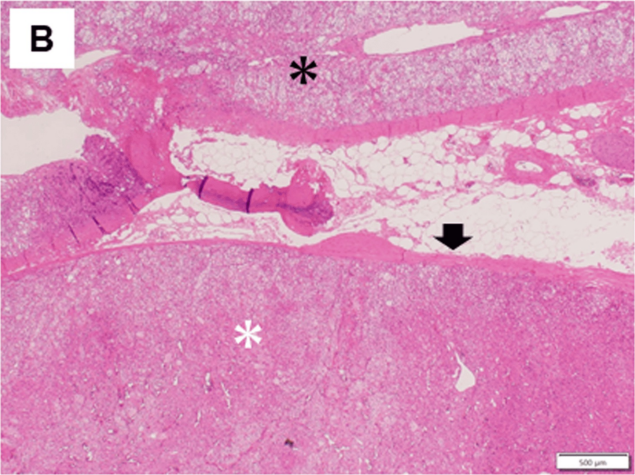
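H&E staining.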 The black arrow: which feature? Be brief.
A: thin fibrous capsule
